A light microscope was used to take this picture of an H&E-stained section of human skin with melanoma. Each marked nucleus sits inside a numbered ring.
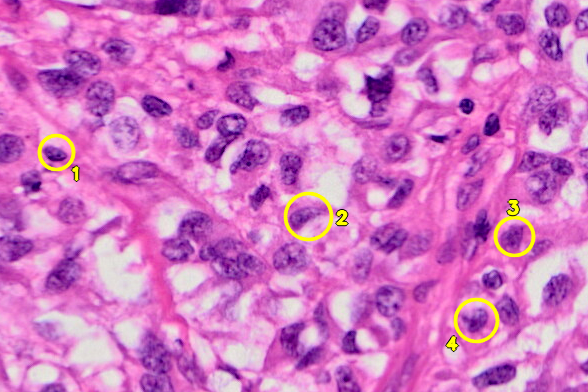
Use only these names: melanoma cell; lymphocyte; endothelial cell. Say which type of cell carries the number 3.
melanoma cell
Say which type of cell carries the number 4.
melanoma cell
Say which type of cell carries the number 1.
lymphocyte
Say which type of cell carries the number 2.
melanoma cell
